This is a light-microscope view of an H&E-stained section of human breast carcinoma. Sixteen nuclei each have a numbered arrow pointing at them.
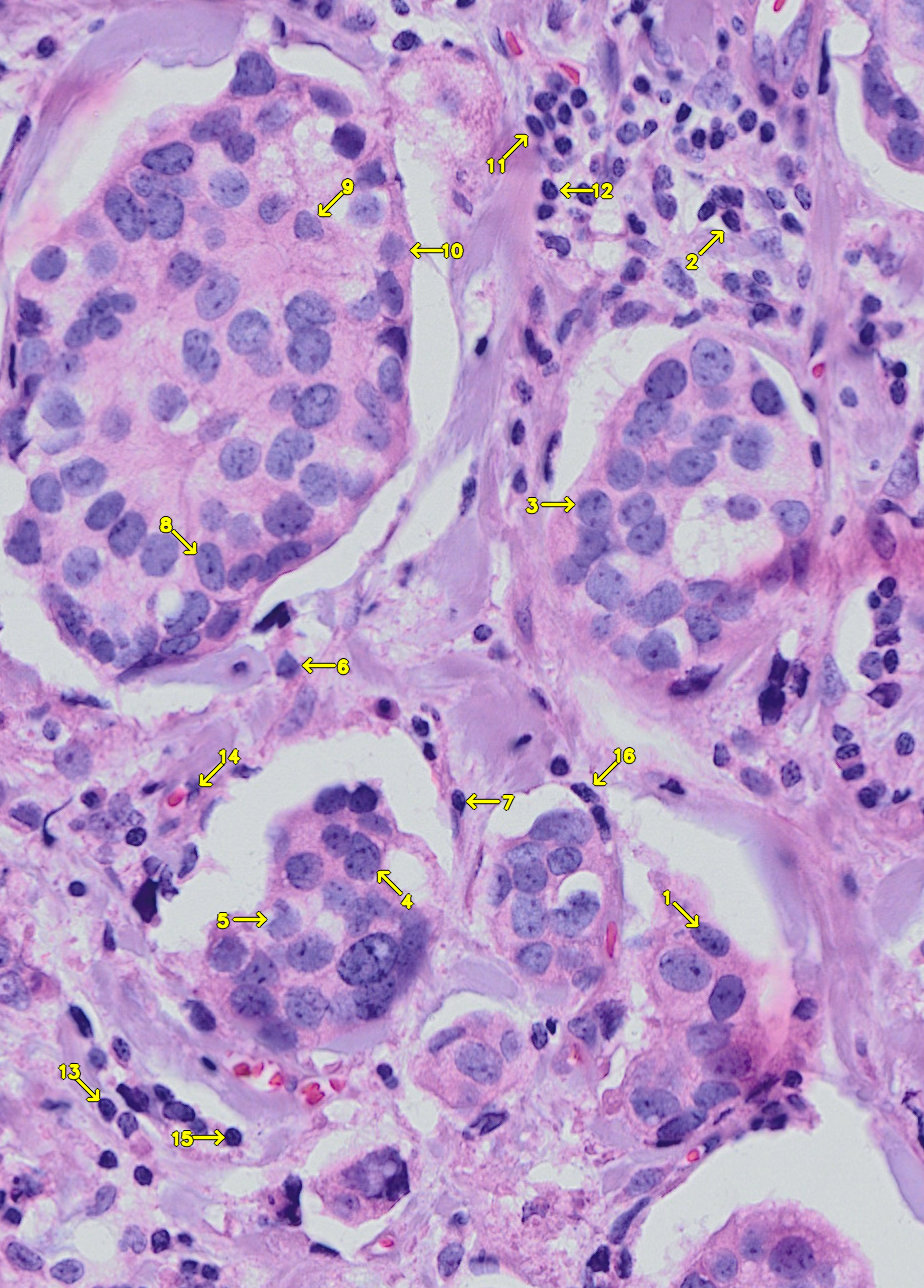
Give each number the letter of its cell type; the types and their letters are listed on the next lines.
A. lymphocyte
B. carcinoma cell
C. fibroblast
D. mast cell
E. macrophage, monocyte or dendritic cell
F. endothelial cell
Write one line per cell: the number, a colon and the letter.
1: B
2: A
3: B
4: B
5: B
6: B
7: A
8: B
9: B
10: B
11: A
12: A
13: A
14: F
15: A
16: A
